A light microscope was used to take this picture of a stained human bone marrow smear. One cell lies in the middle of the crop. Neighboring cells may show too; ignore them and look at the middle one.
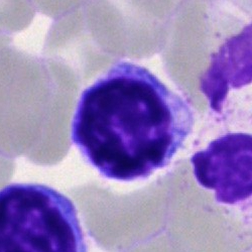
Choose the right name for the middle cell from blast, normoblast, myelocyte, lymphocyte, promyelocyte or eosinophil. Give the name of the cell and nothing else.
lymphocyte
